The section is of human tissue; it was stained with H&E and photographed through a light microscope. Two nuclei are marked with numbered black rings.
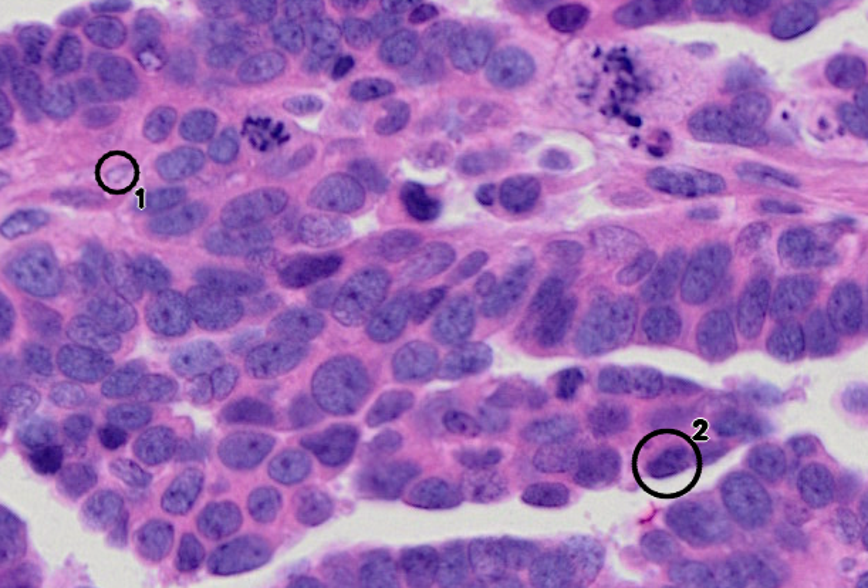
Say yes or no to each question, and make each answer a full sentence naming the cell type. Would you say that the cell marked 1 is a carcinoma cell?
No, cell 1 is a fibroblast, not a carcinoma cell.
